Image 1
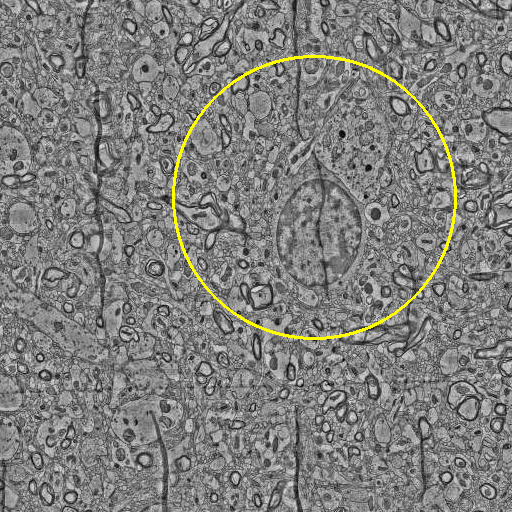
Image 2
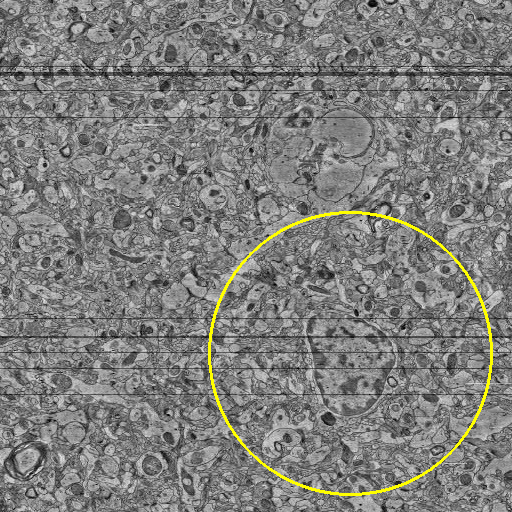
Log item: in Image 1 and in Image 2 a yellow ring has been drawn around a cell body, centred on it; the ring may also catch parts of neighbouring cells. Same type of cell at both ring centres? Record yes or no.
no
